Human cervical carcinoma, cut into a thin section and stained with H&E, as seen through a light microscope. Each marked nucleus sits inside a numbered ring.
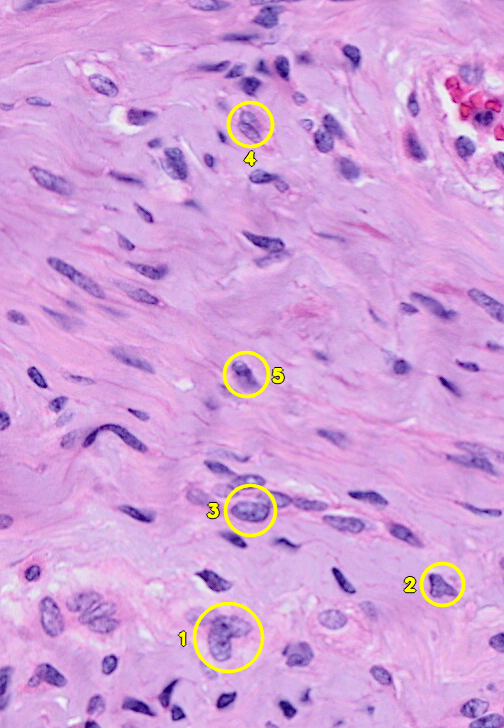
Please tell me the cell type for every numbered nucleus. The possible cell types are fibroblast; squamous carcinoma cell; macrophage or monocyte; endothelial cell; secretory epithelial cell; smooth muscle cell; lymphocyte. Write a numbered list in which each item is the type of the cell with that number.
1. endothelial cell
2. fibroblast
3. endothelial cell
4. endothelial cell
5. fibroblast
